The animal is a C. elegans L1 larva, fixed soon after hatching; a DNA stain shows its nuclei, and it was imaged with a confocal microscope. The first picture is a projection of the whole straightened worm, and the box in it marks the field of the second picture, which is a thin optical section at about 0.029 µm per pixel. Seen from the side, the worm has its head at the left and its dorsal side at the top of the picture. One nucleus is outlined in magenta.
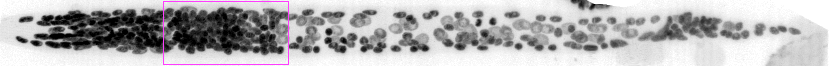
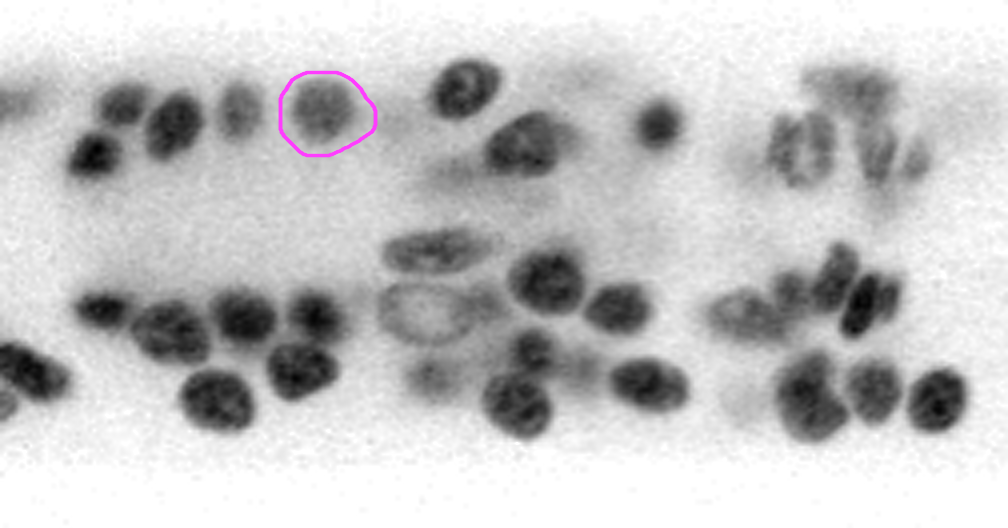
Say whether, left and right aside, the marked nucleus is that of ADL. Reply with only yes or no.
yes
